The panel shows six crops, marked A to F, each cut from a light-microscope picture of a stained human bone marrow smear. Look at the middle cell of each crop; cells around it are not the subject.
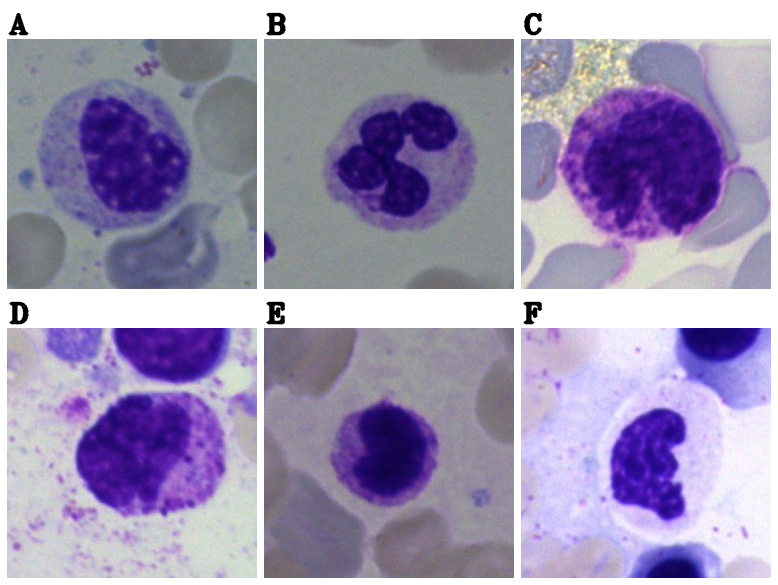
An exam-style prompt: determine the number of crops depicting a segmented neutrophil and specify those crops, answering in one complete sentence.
Crops B and F show segmented neutrophils, which makes two such crops.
